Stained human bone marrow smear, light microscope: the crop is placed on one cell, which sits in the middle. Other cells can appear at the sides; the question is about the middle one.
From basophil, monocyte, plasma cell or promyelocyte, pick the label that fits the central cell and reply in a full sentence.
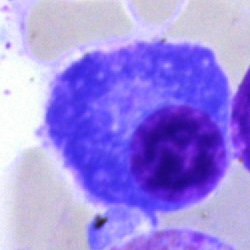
The centered cell in this crop is a plasma cell.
